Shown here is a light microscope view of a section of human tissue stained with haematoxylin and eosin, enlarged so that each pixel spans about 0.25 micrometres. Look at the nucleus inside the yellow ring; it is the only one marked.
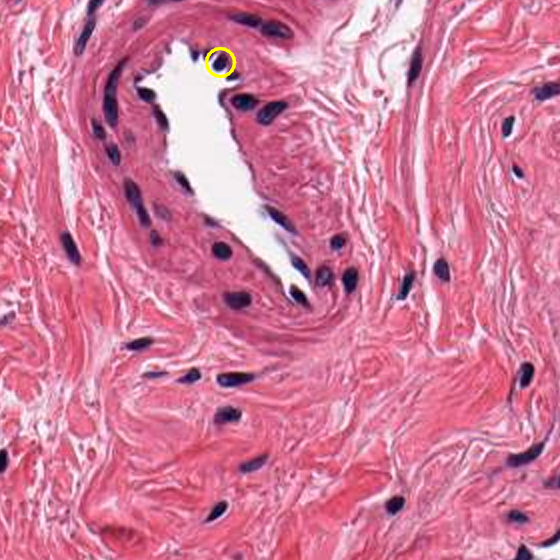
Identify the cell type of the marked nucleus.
endothelial cell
